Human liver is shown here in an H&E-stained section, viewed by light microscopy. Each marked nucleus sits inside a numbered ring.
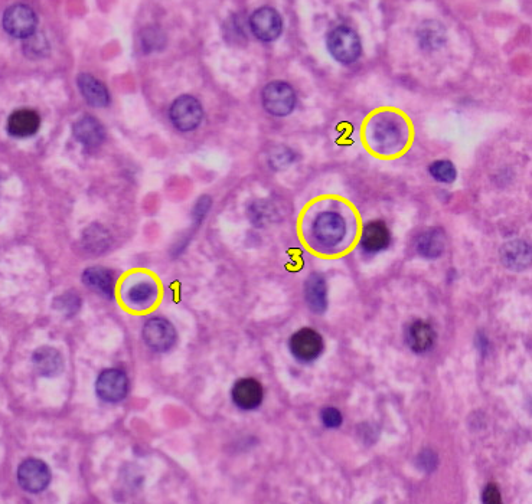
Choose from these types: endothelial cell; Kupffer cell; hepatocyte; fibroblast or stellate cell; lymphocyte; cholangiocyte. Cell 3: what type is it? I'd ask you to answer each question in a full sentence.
Among the marked nuclei, number 3 belongs to a hepatocyte.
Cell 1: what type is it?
Cell 1, as marked in the section, is a lymphocyte.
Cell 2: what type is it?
The cell given label 2 is a hepatocyte.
